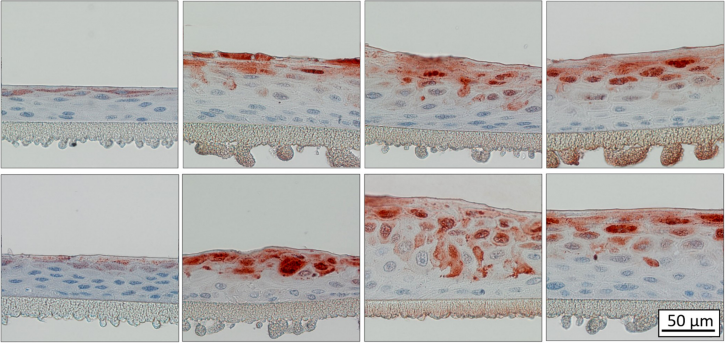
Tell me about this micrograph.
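These are sections of reconstructed epidermis with blue-counterstained nuclei in a layered sheet of keratinocytes on a porous membrane. In several sections a red-brown stain fills cells in the upper layers, often strongest near the surface. The lower layers stay mostly blue. In one section the brown-stained cells are large and scattered through much of the thickness, while the leftmost sections show hardly any brown.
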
